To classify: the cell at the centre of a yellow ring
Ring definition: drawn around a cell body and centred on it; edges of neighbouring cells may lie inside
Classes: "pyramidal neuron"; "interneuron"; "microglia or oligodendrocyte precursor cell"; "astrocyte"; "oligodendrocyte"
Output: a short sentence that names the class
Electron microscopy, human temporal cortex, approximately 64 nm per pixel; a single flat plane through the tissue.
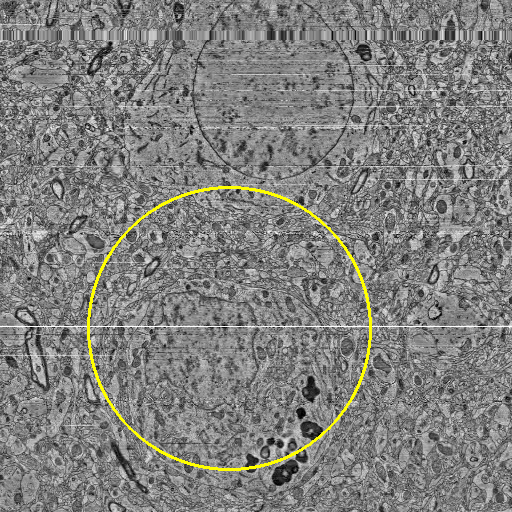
The ringed cell is an interneuron.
